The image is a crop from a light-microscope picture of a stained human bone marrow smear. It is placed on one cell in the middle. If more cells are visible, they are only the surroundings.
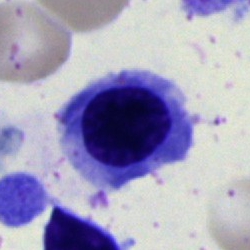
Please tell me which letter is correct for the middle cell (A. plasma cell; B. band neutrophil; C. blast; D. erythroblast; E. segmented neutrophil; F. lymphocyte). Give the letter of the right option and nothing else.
D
